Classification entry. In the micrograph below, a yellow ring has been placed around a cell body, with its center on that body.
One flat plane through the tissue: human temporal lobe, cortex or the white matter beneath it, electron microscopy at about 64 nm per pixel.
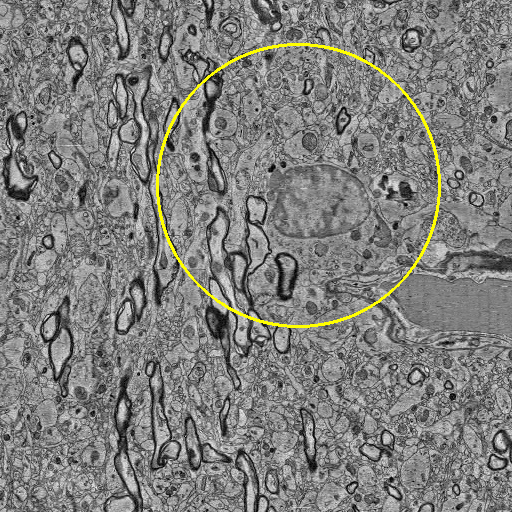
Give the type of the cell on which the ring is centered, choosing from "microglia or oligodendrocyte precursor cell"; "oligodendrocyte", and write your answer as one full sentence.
The cell body at the center of the yellow ring belongs to an oligodendrocyte.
